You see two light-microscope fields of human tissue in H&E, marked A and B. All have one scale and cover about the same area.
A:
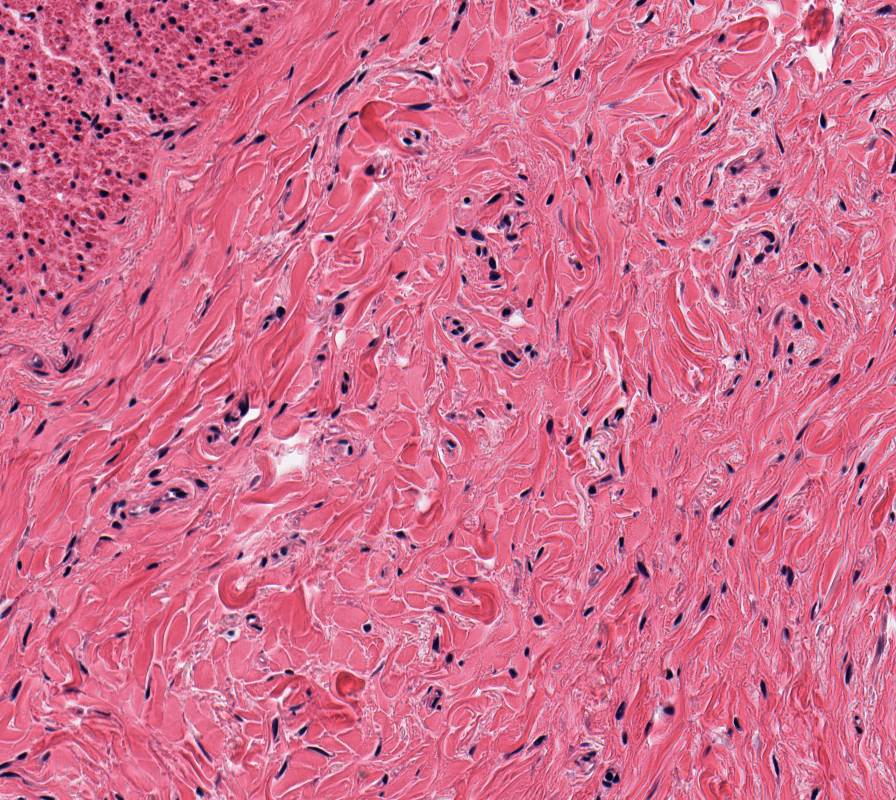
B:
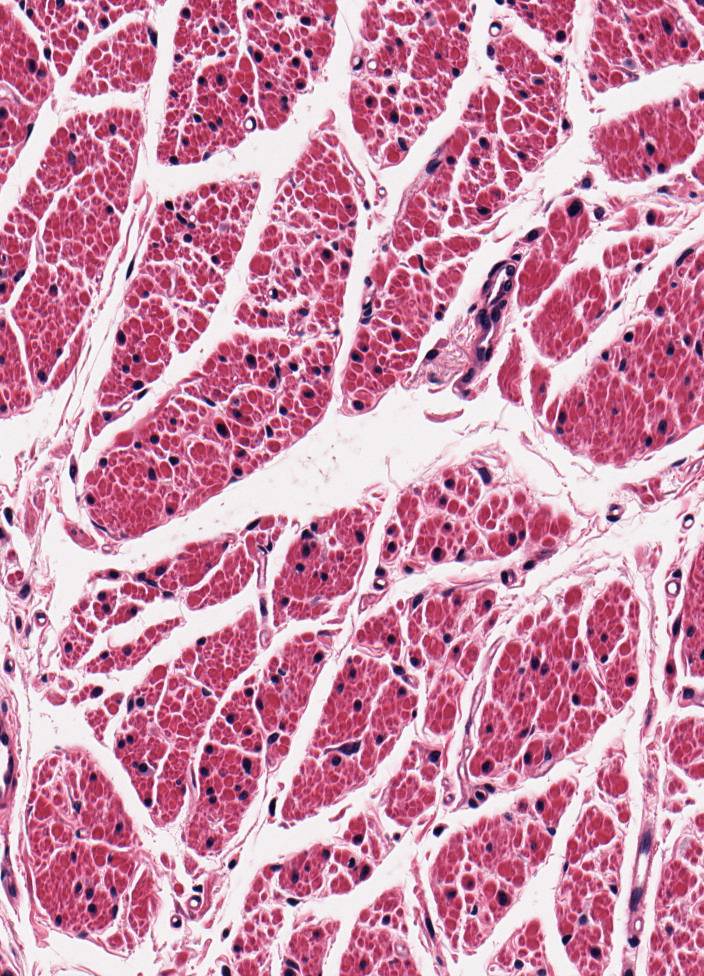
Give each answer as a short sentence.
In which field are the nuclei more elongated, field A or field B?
Longer, more slender nuclei lie in field A.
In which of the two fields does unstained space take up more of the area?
It is field B in which white space covers the larger part.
